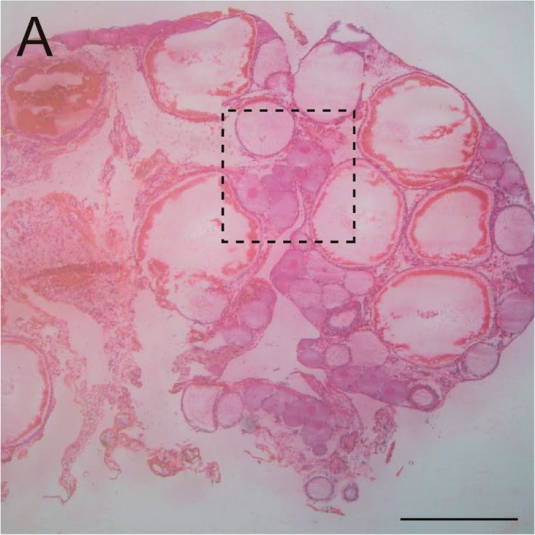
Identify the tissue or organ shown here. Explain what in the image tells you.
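Round follicles of very different sizes packed together. Small densely pink oocytes clustered between large pale oocytes. Thin cellular layers surround each oocyte. That points to this answer: ovary.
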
